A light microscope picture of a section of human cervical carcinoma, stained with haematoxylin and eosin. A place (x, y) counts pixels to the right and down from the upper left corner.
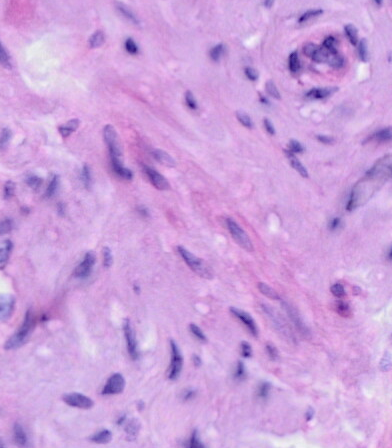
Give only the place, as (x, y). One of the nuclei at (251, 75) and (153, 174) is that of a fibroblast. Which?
(251, 75)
